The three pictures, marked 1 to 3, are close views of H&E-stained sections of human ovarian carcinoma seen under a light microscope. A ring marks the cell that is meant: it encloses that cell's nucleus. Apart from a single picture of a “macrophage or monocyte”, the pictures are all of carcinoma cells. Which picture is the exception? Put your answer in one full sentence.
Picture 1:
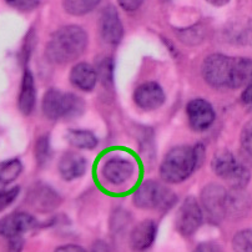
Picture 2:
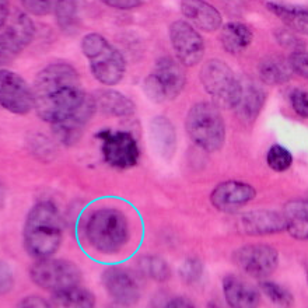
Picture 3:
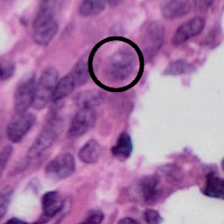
The “macrophage or monocyte” is the one in picture 1.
